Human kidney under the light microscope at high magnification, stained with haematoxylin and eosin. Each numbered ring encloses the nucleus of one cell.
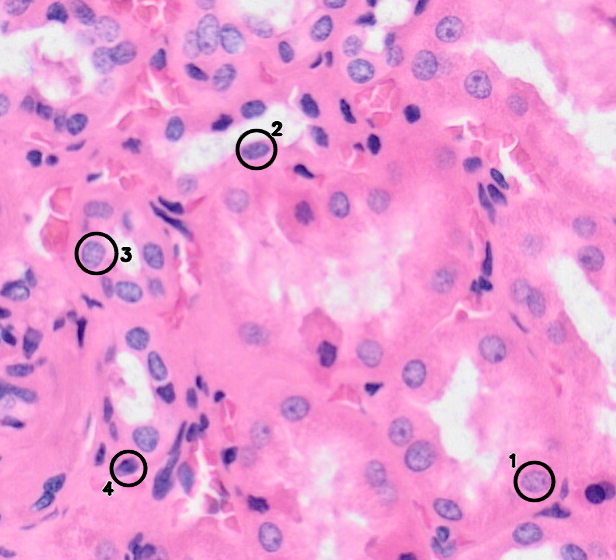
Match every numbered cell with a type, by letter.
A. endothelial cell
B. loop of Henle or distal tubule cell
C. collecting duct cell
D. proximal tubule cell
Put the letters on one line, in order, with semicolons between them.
D; B; C; A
